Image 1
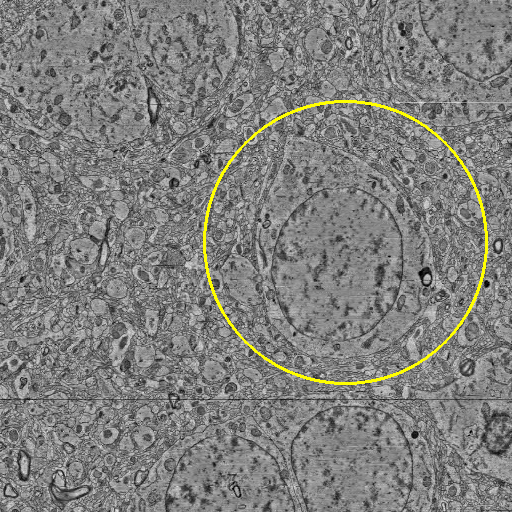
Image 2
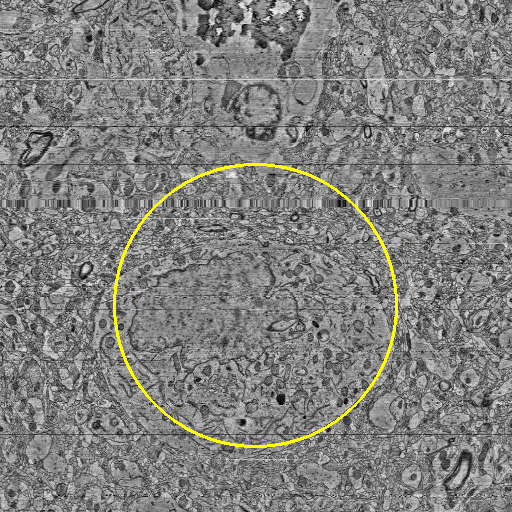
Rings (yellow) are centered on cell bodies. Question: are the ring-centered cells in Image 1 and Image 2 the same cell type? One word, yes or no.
no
